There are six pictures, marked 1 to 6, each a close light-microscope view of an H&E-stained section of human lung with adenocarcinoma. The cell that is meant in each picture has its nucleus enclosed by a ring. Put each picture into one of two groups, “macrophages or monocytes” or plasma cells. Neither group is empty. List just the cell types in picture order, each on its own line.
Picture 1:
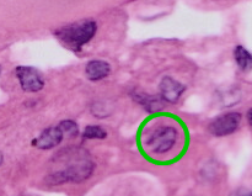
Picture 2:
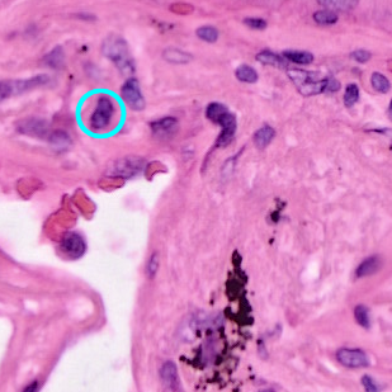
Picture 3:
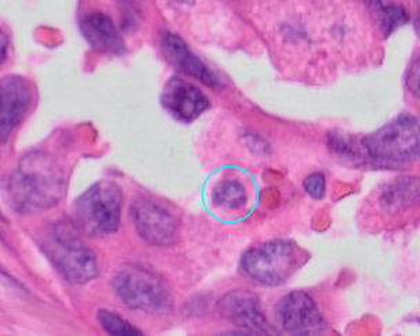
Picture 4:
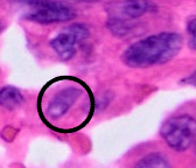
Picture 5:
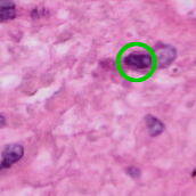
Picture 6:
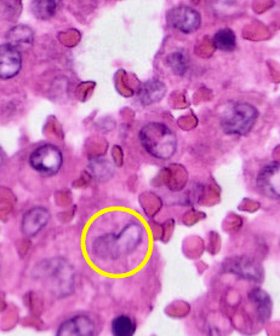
macrophage or monocyte
plasma cell
macrophage or monocyte
macrophage or monocyte
plasma cell
macrophage or monocyte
